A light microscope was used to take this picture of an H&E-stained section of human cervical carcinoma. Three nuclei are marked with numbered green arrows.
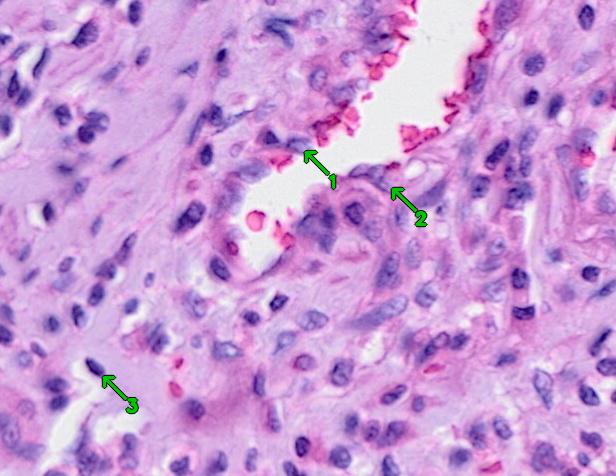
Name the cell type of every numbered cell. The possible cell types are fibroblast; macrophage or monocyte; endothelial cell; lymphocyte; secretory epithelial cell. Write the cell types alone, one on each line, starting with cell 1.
endothelial cell
endothelial cell
lymphocyte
